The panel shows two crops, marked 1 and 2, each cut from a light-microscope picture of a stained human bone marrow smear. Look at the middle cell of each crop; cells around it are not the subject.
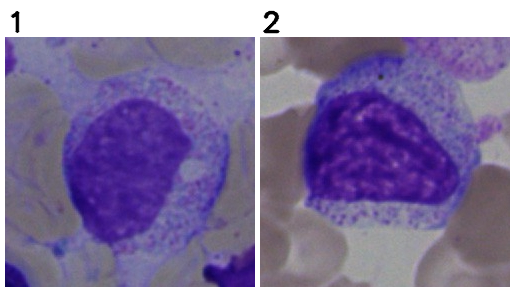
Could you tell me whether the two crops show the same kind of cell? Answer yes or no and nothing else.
yes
